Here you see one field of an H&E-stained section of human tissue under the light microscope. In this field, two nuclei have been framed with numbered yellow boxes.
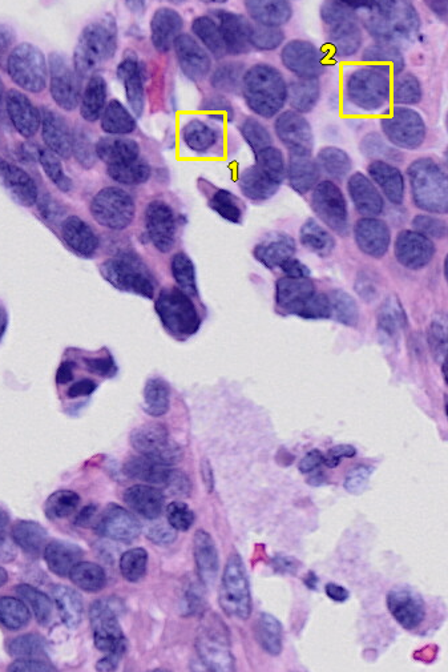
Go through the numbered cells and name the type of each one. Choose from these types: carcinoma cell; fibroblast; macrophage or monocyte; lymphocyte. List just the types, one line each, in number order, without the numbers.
macrophage or monocyte
carcinoma cell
